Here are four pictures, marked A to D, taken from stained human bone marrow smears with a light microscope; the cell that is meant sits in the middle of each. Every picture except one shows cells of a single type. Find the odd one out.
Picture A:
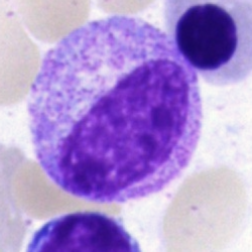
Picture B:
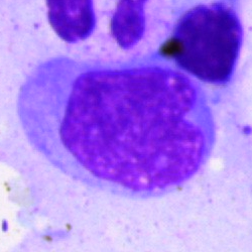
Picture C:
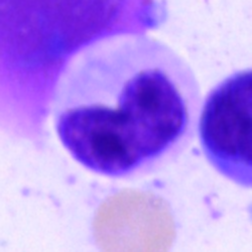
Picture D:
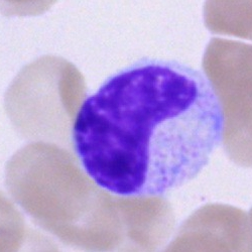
B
